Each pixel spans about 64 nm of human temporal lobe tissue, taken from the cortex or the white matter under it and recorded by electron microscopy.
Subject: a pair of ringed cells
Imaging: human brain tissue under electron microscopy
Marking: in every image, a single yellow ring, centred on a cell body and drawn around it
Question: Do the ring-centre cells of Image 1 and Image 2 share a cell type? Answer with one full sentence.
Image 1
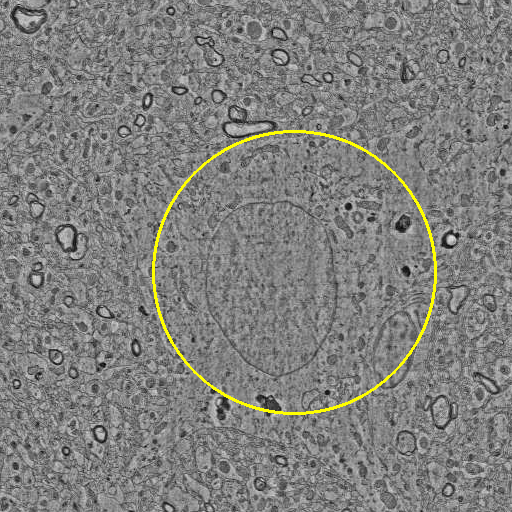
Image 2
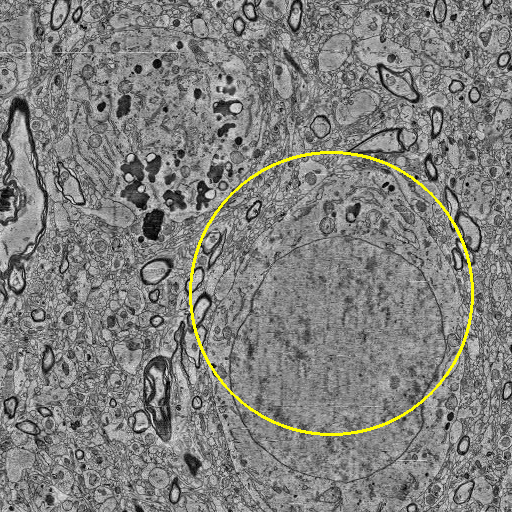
Yes, at each ring's centre in the images sits a cell of one common type.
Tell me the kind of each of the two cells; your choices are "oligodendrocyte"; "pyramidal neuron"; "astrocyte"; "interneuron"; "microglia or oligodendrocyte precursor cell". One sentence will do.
Each one of the two ringed cells is a pyramidal neuron.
